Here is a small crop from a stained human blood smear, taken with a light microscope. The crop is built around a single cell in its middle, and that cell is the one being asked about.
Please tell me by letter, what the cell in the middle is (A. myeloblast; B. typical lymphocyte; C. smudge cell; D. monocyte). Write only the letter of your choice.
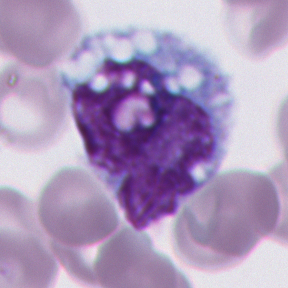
D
